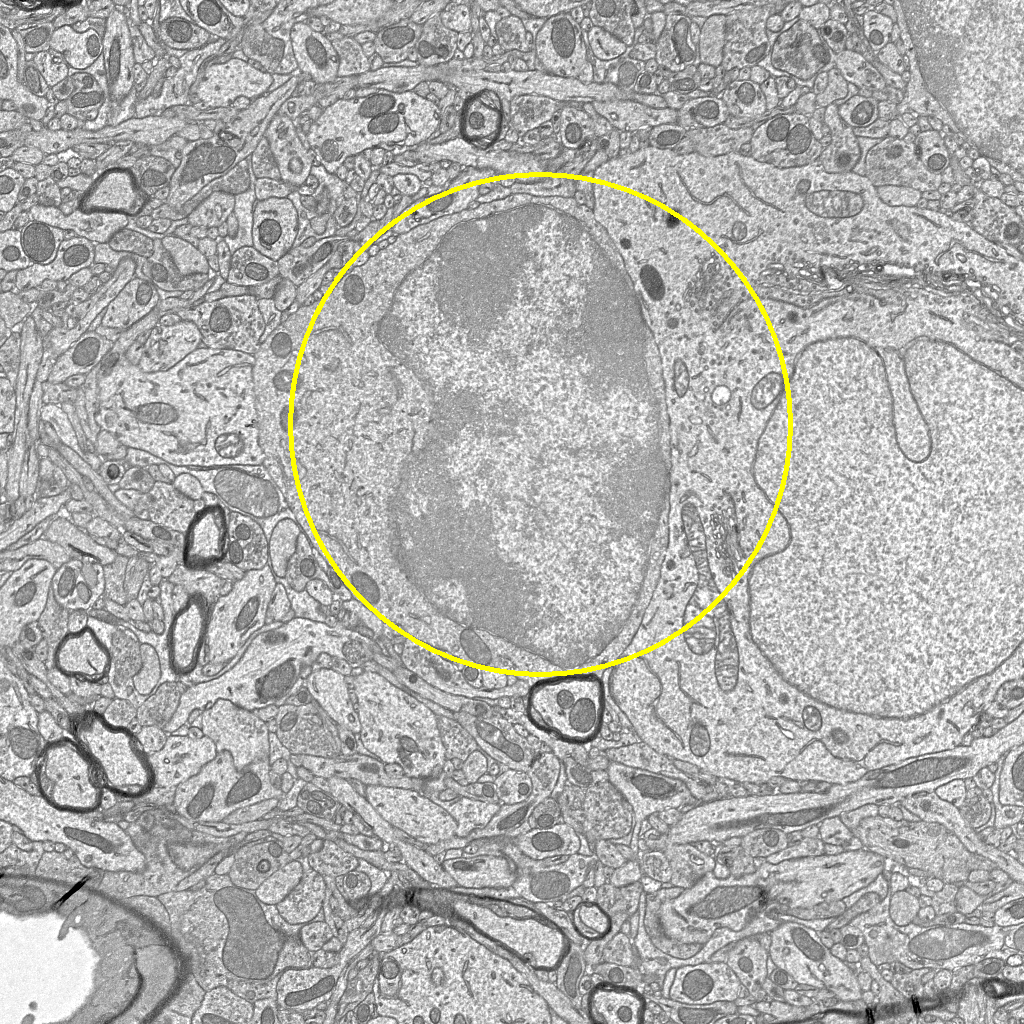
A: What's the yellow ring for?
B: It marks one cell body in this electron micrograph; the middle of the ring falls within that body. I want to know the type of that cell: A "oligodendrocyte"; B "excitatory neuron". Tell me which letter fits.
A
